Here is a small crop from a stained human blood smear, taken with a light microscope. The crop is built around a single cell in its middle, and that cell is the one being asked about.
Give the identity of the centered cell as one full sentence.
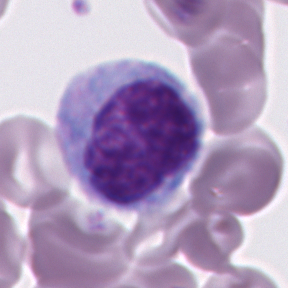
In the crop, the cell of interest at the centre is a monocyte.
